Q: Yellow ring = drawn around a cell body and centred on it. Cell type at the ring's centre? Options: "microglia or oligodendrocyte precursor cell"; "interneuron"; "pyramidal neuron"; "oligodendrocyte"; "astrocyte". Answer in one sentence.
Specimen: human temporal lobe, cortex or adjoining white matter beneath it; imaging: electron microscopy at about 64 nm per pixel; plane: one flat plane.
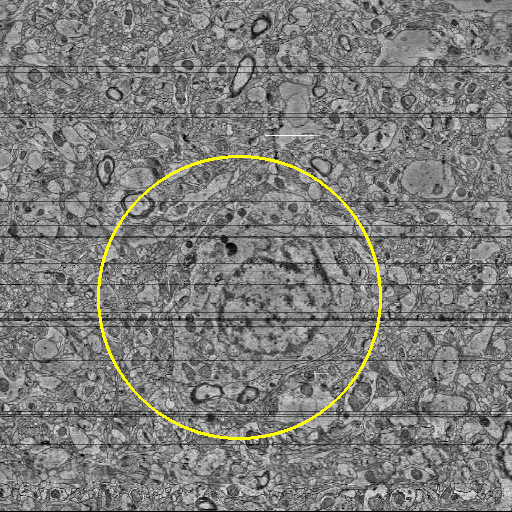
Centred in the ring is an interneuron.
